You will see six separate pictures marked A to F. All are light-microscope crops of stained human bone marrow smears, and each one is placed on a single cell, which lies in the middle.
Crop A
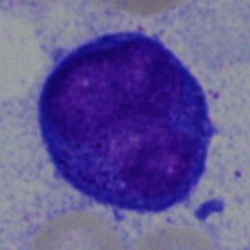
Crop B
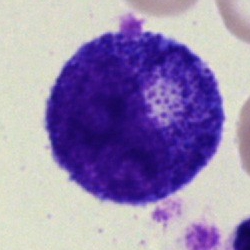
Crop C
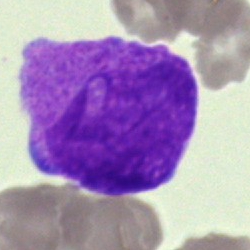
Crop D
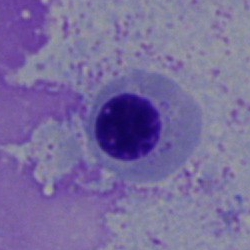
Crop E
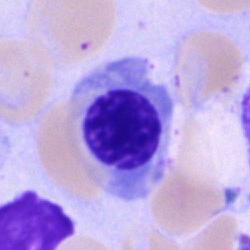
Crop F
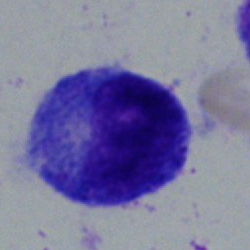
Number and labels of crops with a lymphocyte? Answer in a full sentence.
Zero lymphocytes are shown, as none of the crops contains any.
